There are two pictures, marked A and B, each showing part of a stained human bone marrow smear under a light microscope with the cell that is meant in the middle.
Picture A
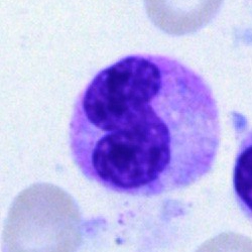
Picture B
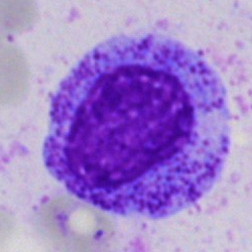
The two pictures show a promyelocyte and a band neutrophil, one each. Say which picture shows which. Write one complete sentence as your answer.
In picture A the cell is a band neutrophil; in picture B, a promyelocyte.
